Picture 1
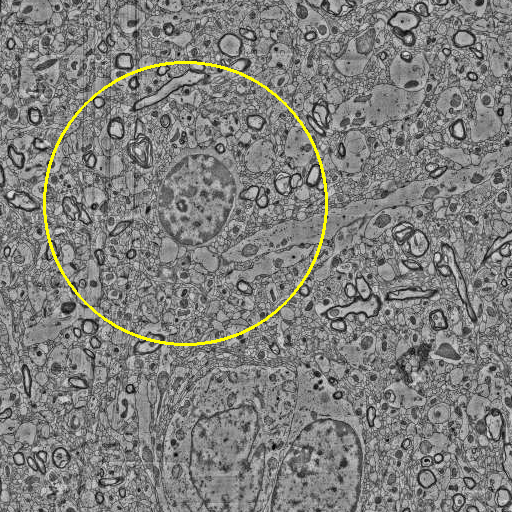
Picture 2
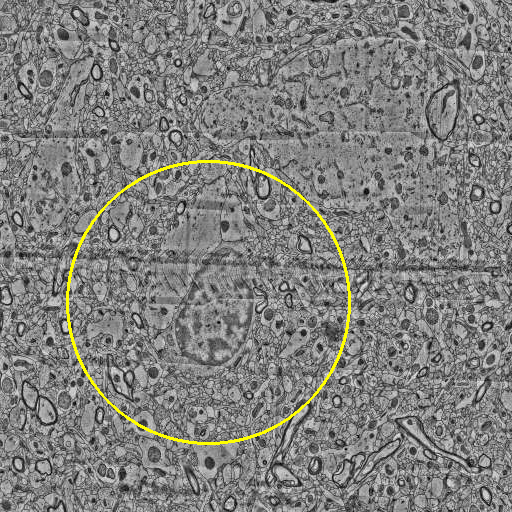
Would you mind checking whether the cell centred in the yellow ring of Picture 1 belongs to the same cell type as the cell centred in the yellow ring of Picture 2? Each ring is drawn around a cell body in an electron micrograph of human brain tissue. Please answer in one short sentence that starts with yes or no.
Yes, both cells are of the same type.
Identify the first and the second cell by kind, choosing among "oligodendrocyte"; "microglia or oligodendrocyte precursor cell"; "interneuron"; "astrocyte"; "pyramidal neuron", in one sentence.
The cell in the first picture is an oligodendrocyte, and so is the one in the second.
